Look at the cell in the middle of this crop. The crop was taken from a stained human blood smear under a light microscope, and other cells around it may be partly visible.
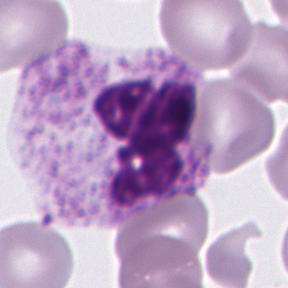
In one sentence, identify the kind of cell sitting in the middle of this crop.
The central cell in this smear crop is a segmented neutrophil.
